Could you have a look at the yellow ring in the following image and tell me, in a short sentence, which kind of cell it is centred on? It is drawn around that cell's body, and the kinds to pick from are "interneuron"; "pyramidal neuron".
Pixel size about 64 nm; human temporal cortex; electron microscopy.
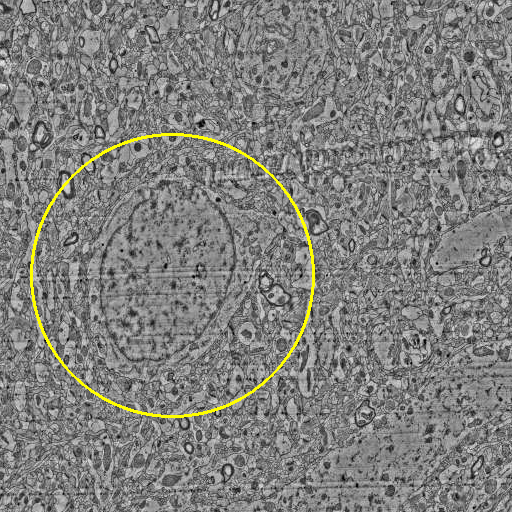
The ring is centred on the body of an interneuron.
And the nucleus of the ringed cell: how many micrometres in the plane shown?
The nucleus is approximately 12 micrometers long by 8 micrometers wide in this plane.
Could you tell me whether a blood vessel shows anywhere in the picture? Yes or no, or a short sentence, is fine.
No.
